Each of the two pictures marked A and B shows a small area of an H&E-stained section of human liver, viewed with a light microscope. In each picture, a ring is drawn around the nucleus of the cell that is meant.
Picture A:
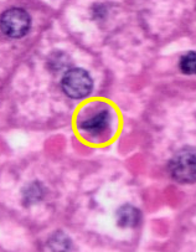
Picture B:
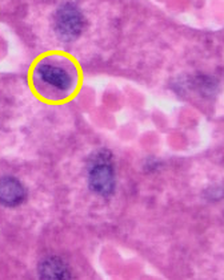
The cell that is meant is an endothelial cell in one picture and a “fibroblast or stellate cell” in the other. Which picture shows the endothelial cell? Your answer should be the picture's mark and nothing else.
A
